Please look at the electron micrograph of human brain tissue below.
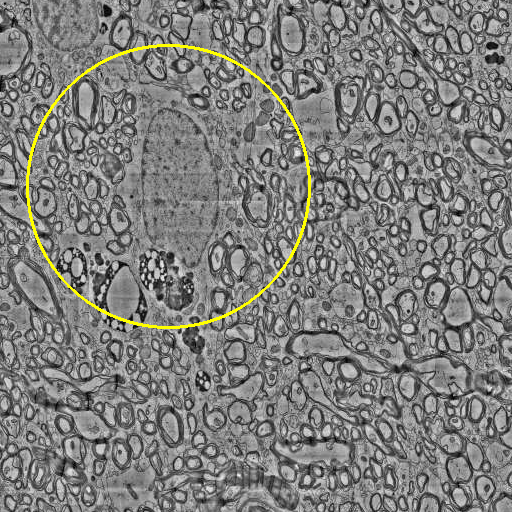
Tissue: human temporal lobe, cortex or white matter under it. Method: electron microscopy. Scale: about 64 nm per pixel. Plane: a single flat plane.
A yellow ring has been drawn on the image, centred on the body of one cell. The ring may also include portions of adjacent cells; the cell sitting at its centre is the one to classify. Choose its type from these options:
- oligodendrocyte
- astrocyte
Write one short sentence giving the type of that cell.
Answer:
The cell in the middle of the ring is an astrocyte.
